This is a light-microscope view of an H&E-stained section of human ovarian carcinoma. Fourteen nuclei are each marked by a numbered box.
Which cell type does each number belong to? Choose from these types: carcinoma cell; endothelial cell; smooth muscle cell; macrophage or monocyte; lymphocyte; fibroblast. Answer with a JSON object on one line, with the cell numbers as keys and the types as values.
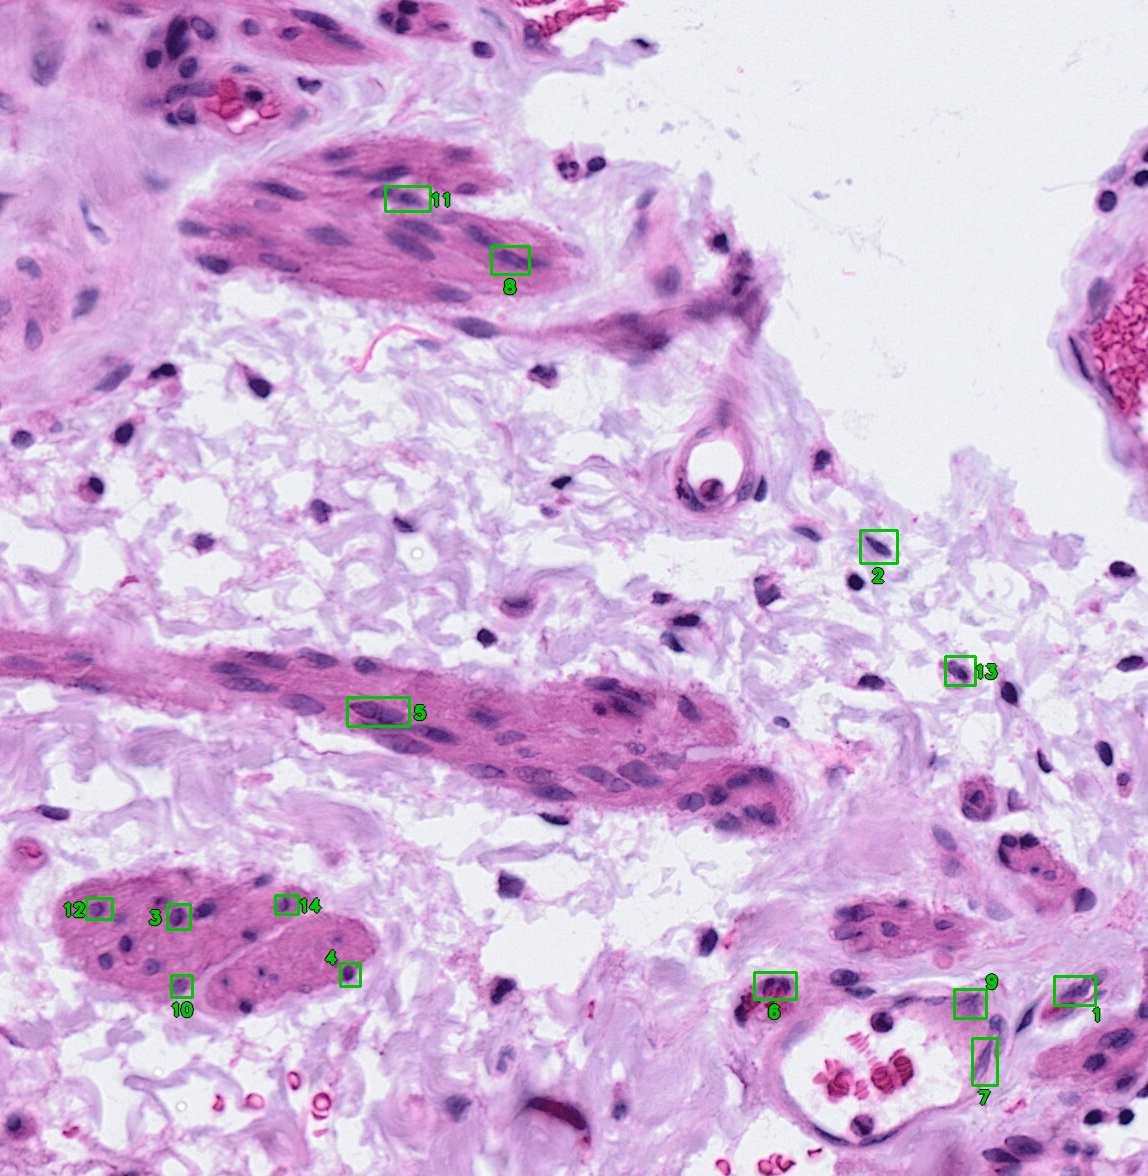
{"1": "endothelial cell", "2": "fibroblast", "3": "smooth muscle cell", "4": "smooth muscle cell", "5": "smooth muscle cell", "6": "endothelial cell", "7": "endothelial cell", "8": "smooth muscle cell", "9": "endothelial cell", "10": "smooth muscle cell", "11": "smooth muscle cell", "12": "smooth muscle cell", "13": "macrophage or monocyte", "14": "smooth muscle cell"}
